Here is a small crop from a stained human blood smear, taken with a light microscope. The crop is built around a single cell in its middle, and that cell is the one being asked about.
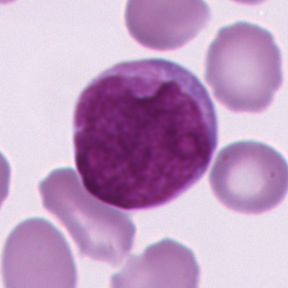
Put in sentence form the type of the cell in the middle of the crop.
The centered cell in this crop is a myeloblast.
